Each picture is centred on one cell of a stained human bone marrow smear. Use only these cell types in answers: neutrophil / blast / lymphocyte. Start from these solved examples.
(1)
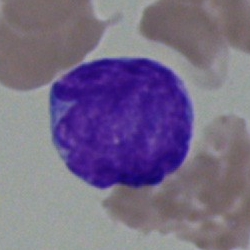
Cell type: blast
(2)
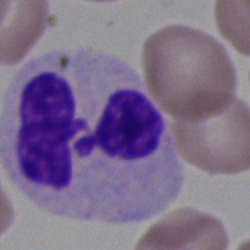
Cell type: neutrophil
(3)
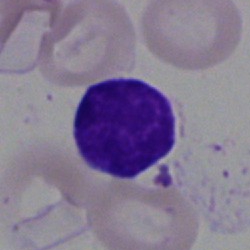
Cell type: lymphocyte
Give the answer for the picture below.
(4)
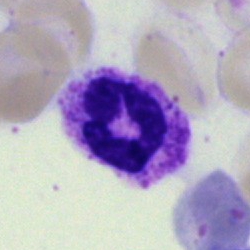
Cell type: neutrophil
